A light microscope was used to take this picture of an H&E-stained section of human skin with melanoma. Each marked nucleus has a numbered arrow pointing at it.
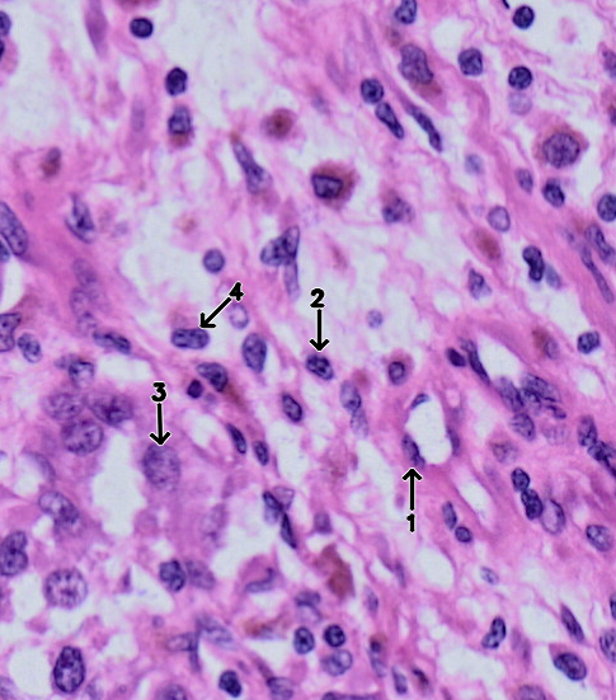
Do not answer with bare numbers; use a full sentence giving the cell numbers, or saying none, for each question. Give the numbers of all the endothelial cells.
Only number 1 is an endothelial cell; none of the others are.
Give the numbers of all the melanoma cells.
The cell marked by number 3 is a melanoma cell; the other marked cells are not.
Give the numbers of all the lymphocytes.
Unlike the other numbered cells, cell 4 is a lymphocyte.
